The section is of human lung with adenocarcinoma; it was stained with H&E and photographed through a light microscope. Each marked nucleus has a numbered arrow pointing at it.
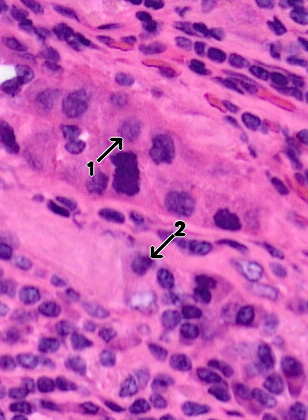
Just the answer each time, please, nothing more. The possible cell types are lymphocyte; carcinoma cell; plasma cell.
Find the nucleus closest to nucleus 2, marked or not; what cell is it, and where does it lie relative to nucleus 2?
a lymphocyte; below and to the right of nucleus 2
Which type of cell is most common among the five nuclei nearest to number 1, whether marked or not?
carcinoma cell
